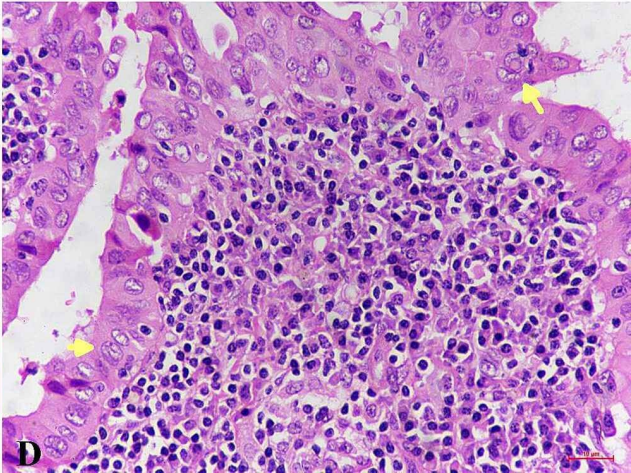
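Here we look at high power at the tumour cells lining a papilla, with the crowded inflammatory cells of its stalk in the centre. The lining cells are large, with plentiful pink, finely granular cytoplasm. Their nuclei are oval, enlarged and overlapping, with pale, cleared chromatin and small nucleoli; some show a longitudinal crease, and some hold a round pale cytoplasm-like inclusion. In contrast, the core beneath is packed with small round cells with dark compact nuclei, lymphocytes and plasma cells, some with eccentric nuclei. A narrow open space separates neighbouring papillae.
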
